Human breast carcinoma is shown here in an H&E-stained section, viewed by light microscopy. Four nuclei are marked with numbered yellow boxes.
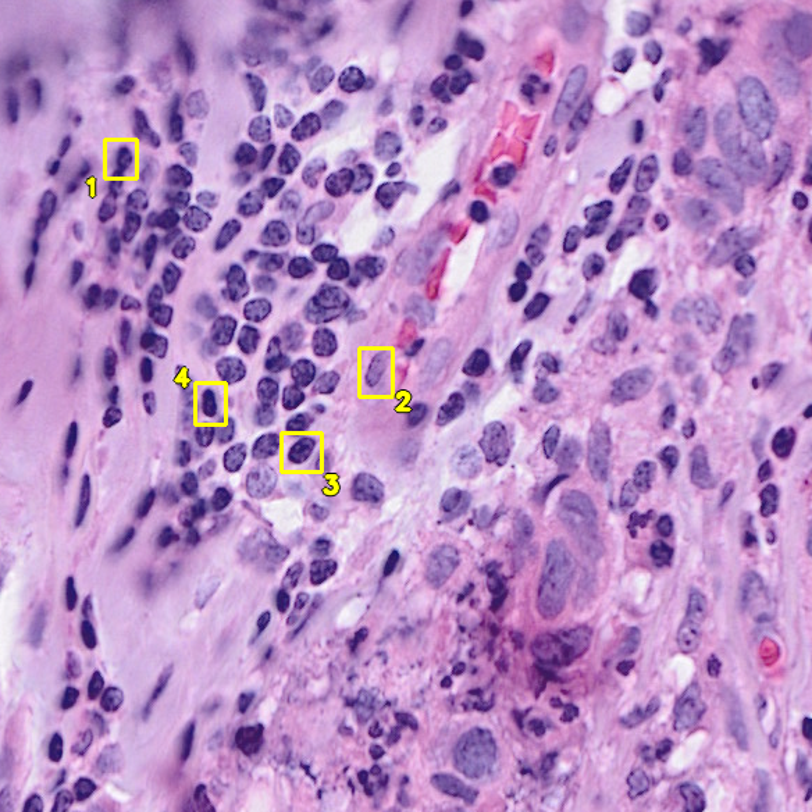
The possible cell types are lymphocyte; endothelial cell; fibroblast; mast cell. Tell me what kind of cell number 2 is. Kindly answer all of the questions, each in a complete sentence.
The cell whose nucleus carries the number 2 is an endothelial cell.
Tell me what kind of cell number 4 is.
Recognised here as a lymphocyte is the cell numbered 4.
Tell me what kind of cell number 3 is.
Number 3 among the marked cells is a lymphocyte.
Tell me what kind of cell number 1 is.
The correct label for cell 1 is a lymphocyte.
